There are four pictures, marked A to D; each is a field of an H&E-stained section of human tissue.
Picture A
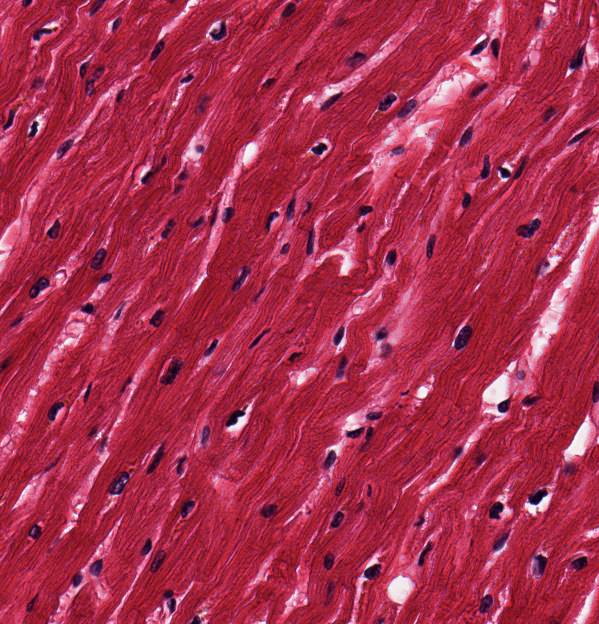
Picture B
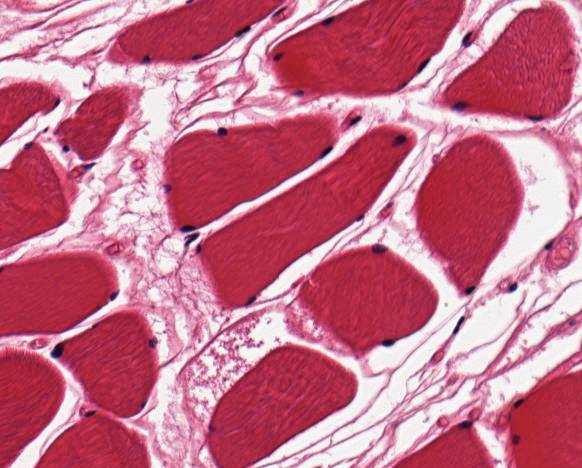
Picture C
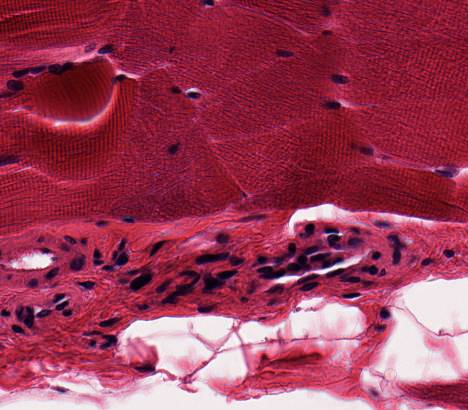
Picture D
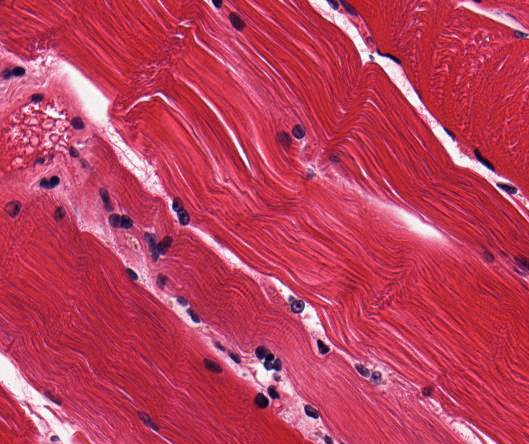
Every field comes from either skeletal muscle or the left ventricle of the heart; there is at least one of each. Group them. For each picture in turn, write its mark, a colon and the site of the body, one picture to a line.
A: left ventricle of the heart
B: skeletal muscle
C: skeletal muscle
D: skeletal muscle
